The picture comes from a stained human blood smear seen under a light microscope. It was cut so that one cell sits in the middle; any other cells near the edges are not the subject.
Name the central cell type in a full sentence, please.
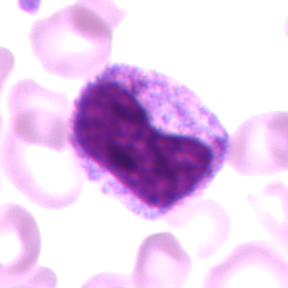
The centrally placed cell is classified as a band neutrophil.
